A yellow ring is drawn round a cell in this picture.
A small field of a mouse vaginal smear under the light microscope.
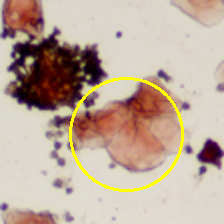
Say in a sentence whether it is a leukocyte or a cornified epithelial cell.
The cell in the ring is a cornified epithelial cell.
